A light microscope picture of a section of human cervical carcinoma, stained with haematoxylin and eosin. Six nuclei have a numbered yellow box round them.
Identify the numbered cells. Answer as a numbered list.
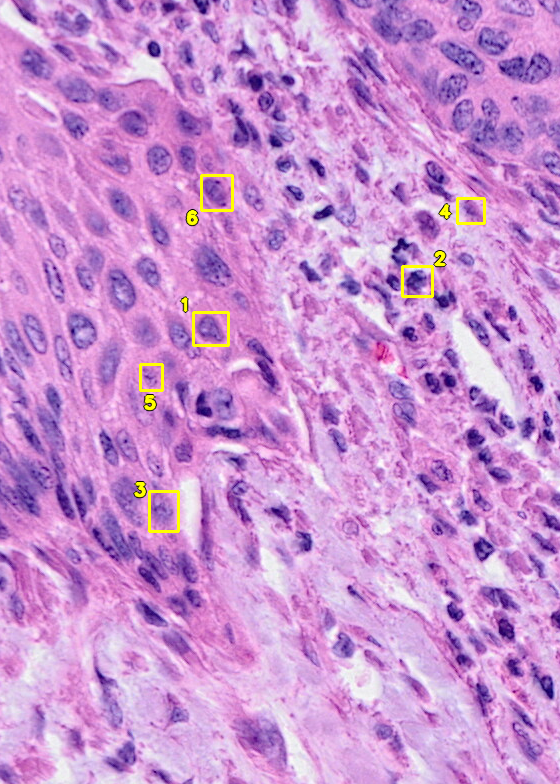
1. squamous carcinoma cell
2. lymphocyte
3. squamous carcinoma cell
4. fibroblast
5. squamous carcinoma cell
6. squamous carcinoma cell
